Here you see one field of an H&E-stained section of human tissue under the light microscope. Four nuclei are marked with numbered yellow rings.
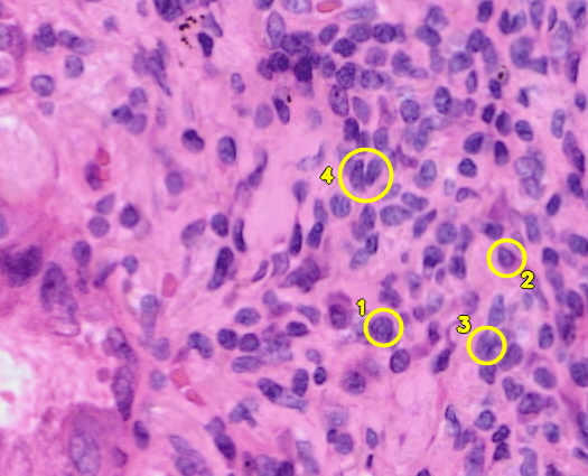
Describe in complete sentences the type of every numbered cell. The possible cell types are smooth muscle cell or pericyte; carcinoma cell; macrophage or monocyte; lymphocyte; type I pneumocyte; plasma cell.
Cells 1, 3 and 4 are lymphocytes. Cell 2 is a plasma cell.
